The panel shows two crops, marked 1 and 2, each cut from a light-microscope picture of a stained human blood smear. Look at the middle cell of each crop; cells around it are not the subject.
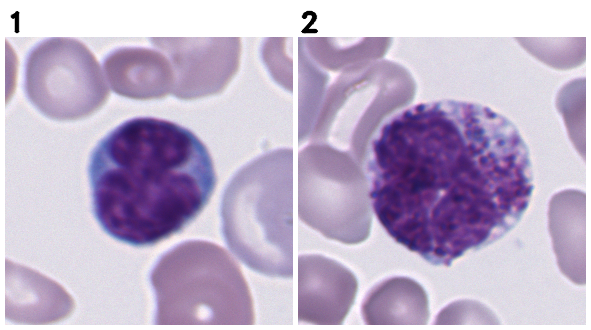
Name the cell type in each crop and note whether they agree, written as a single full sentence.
No, crop 1 corresponds to a typical lymphocyte, while crop 2 corresponds to a basophil.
